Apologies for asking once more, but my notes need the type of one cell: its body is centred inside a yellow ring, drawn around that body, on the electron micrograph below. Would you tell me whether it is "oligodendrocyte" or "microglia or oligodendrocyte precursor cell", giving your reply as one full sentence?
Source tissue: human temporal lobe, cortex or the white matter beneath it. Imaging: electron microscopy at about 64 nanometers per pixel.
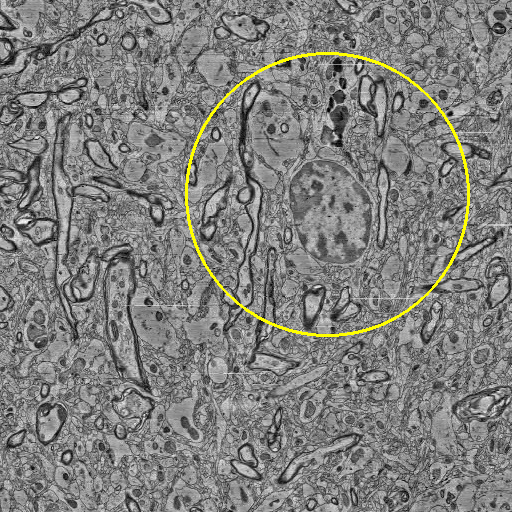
The cell that the yellow ring is centred on is a microglial cell or oligodendrocyte precursor cell in this micrograph.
